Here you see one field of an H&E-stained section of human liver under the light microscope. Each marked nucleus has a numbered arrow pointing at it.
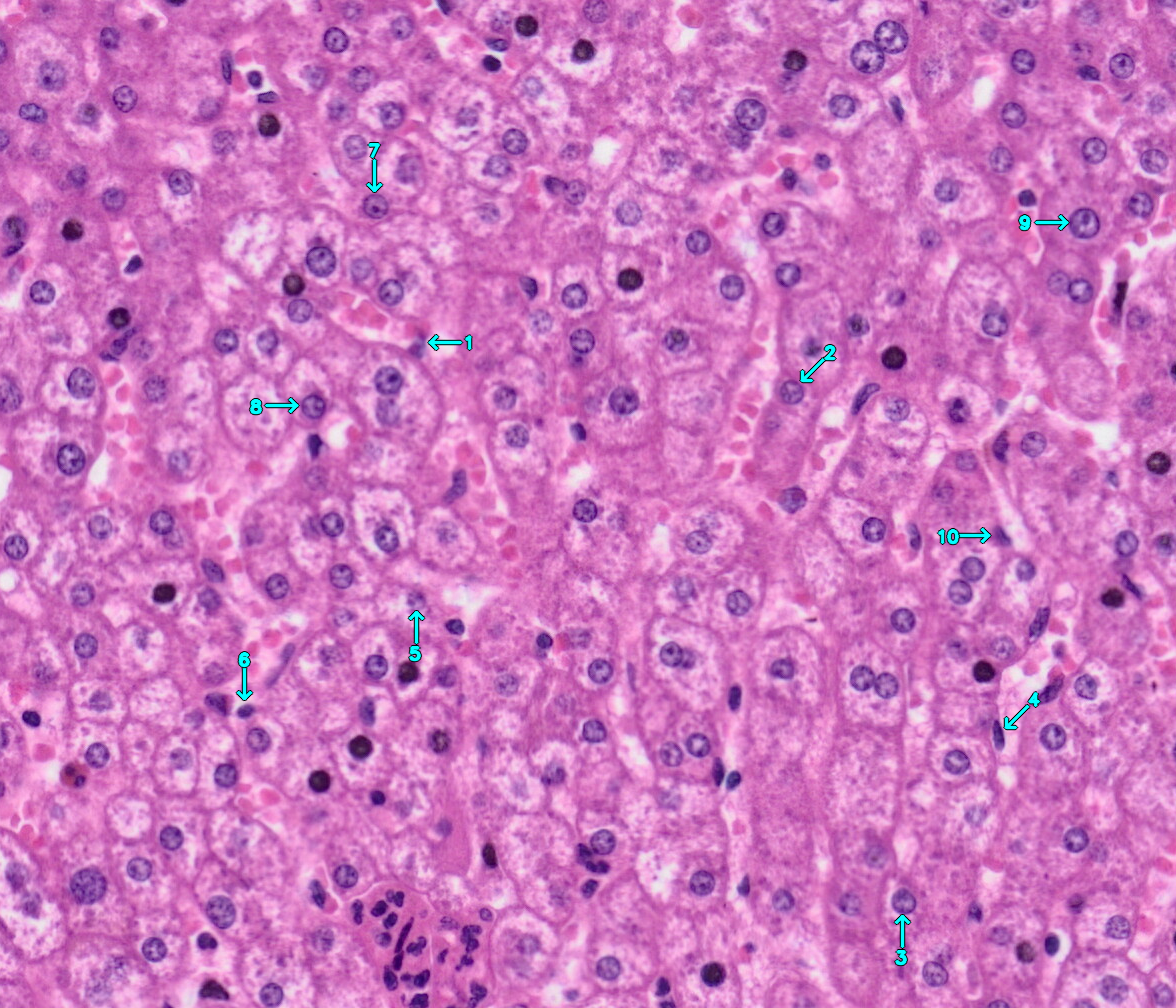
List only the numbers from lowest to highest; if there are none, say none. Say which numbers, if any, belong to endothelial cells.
1, 4, 10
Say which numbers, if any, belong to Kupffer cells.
none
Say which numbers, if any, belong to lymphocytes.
6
